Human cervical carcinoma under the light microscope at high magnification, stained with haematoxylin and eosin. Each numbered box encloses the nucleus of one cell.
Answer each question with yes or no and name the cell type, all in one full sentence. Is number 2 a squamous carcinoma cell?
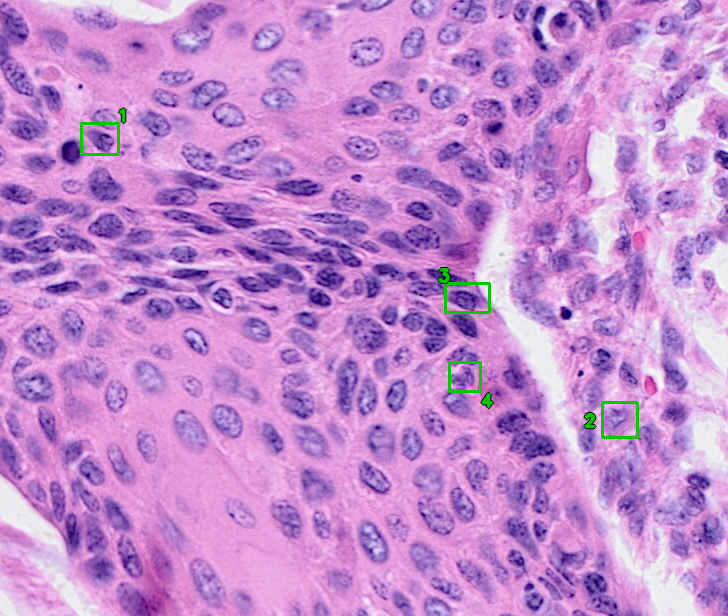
No, cell 2 is identified not as a squamous carcinoma cell but as an endothelial cell.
